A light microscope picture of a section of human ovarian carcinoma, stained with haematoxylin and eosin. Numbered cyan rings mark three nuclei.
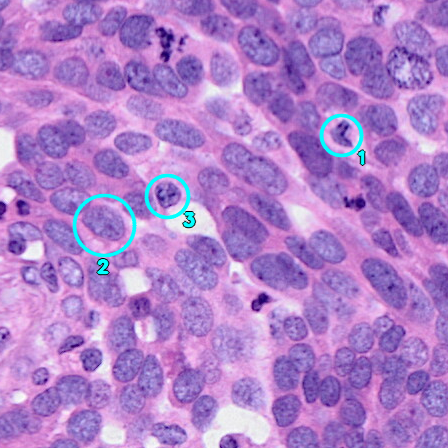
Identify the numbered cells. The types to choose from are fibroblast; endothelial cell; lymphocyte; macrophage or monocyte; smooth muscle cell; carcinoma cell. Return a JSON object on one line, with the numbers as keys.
{"1": "macrophage or monocyte", "2": "carcinoma cell", "3": "macrophage or monocyte"}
